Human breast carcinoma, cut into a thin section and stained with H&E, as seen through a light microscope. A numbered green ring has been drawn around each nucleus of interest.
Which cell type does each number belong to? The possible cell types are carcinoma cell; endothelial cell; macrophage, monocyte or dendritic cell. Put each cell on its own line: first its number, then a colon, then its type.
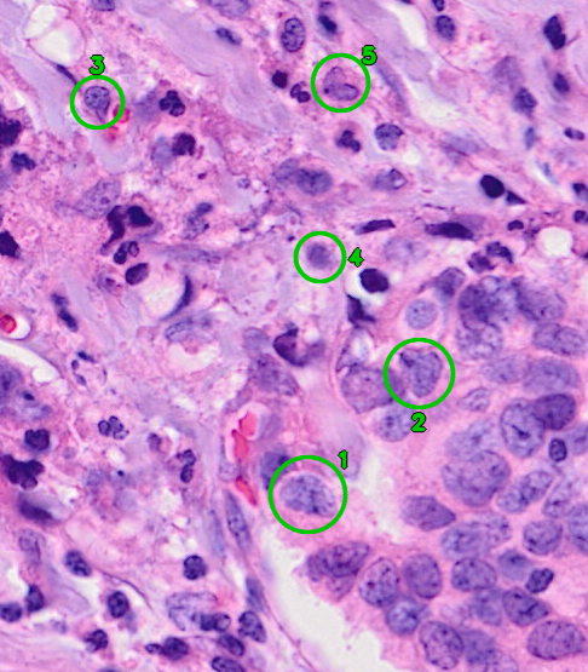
1: carcinoma cell
2: carcinoma cell
3: endothelial cell
4: macrophage, monocyte or dendritic cell
5: macrophage, monocyte or dendritic cell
